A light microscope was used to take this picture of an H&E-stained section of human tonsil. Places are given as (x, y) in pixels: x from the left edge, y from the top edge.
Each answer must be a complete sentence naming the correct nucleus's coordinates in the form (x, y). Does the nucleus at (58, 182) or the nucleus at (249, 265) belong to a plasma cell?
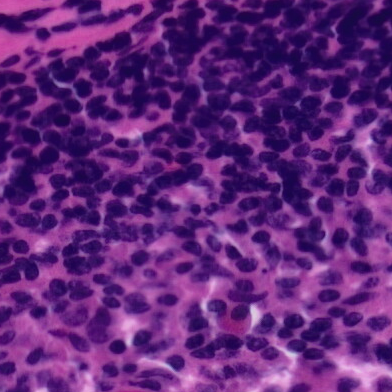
In this pair, the nucleus at (249, 265) belongs to a plasma cell.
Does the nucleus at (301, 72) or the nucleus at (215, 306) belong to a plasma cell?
The nucleus at position (215, 306) belongs to a plasma cell.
